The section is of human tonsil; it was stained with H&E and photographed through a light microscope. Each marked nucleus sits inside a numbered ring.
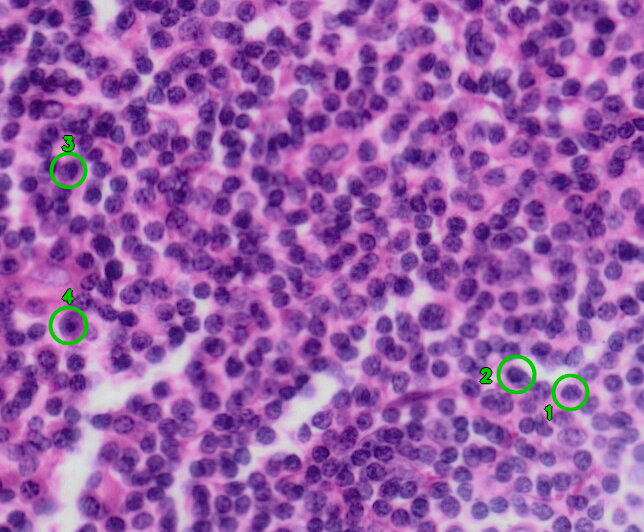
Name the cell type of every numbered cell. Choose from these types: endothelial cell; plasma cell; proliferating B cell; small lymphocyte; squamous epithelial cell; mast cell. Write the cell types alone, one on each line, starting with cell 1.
small lymphocyte
small lymphocyte
small lymphocyte
proliferating B cell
